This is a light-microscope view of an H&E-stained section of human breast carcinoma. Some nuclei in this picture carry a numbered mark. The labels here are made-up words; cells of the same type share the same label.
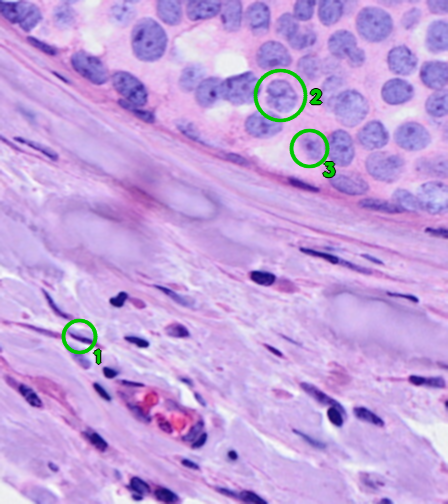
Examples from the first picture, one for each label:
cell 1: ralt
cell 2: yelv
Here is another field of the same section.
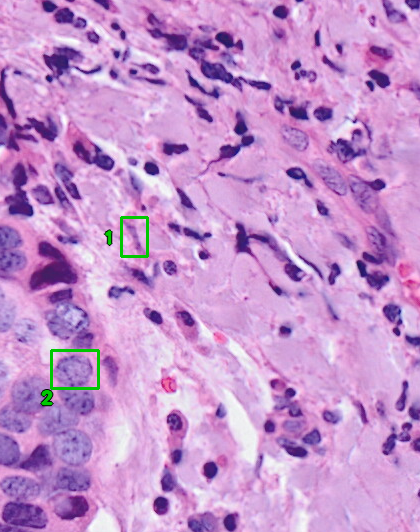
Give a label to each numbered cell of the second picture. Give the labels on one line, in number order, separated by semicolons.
ralt; yelv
